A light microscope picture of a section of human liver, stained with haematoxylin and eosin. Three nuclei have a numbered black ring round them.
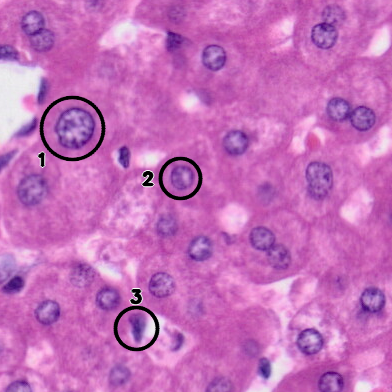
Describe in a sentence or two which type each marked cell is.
Cell 1 is a hepatocyte, cell 2 is a hepatocyte and cell 3 is an endothelial cell.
